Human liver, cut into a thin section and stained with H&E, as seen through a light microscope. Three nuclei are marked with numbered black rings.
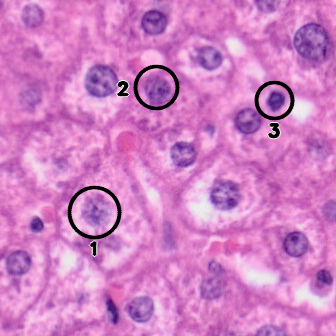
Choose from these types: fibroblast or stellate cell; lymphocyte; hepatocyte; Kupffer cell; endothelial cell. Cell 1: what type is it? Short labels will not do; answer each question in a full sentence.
Looking at the numbered marks, cell 1 is a hepatocyte.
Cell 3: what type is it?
The mark numbered 3 indicates the nucleus of a lymphocyte.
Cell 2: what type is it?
The nucleus labeled 2 belongs to a hepatocyte.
